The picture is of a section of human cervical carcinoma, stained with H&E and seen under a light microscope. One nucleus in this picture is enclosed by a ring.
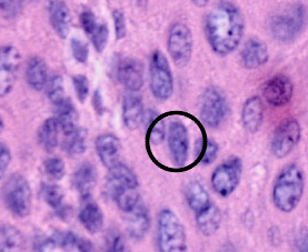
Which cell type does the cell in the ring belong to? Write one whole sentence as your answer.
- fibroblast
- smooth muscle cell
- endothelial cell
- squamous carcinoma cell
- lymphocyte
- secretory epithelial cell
The identity of the cell in the ring is that of a squamous carcinoma cell.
